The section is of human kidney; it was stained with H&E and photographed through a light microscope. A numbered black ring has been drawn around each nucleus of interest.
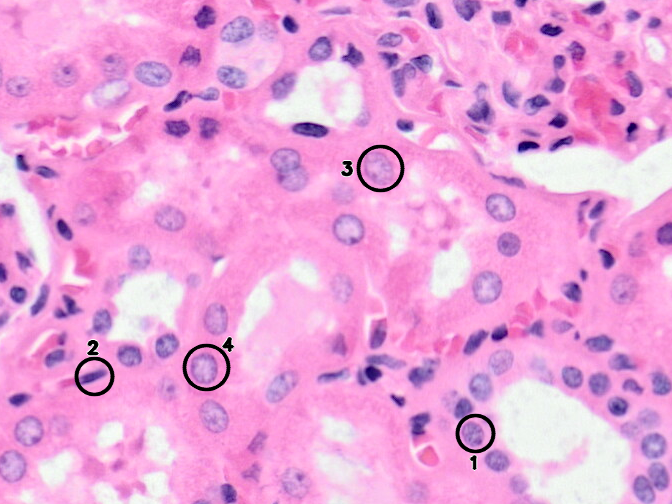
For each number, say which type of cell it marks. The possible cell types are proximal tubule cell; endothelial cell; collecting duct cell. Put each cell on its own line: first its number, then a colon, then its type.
1: collecting duct cell
2: endothelial cell
3: proximal tubule cell
4: proximal tubule cell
